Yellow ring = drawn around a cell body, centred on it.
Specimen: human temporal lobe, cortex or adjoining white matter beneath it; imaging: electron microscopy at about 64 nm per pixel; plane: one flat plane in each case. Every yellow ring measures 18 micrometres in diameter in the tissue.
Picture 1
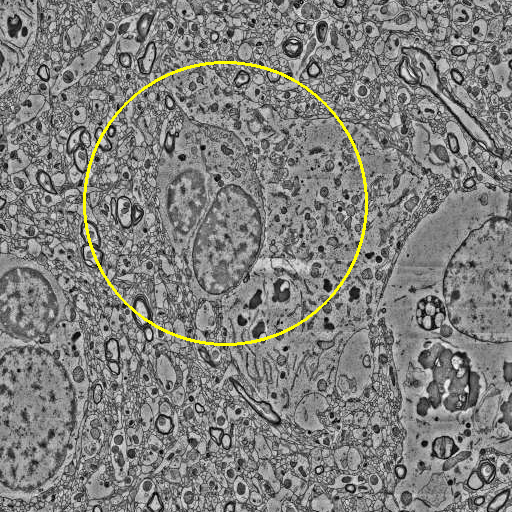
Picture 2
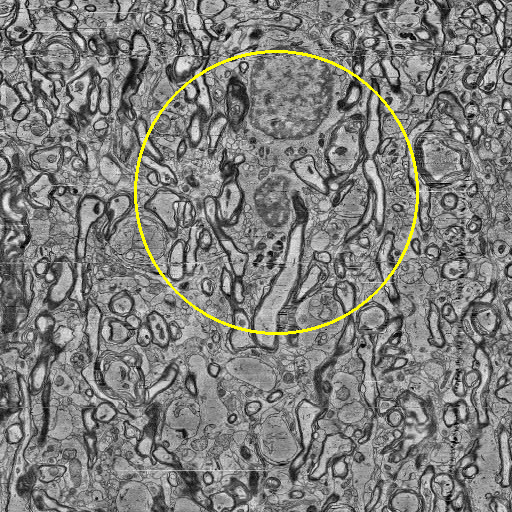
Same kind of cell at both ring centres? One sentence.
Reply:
Yes, they are the same kind of cell.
